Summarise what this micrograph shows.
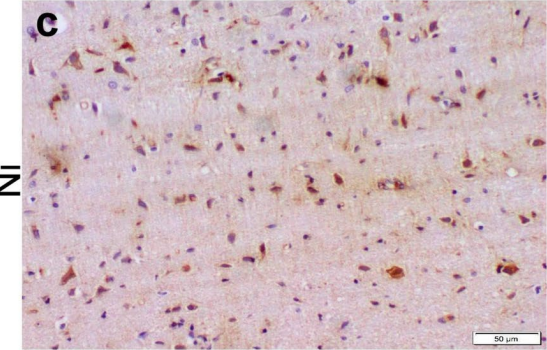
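This is cerebral cortex in which many neurons are scattered through a pale pink-beige fibrillar neuropil. Numerous neuronal cell bodies are stained dark brown, several of them triangular with tapering processes extending from them. Faint brown staining also runs through parts of the surrounding neuropil. Other nuclei remain blue-purple without brown colour. The brown cells are distributed fairly evenly across the field rather than forming a single layer.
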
